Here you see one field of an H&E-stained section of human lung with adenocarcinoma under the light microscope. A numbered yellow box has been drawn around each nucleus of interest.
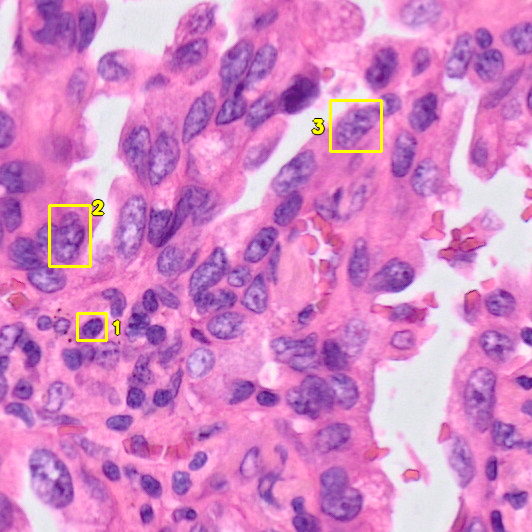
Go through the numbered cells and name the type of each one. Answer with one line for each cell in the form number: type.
1: lymphocyte
2: carcinoma cell
3: carcinoma cell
